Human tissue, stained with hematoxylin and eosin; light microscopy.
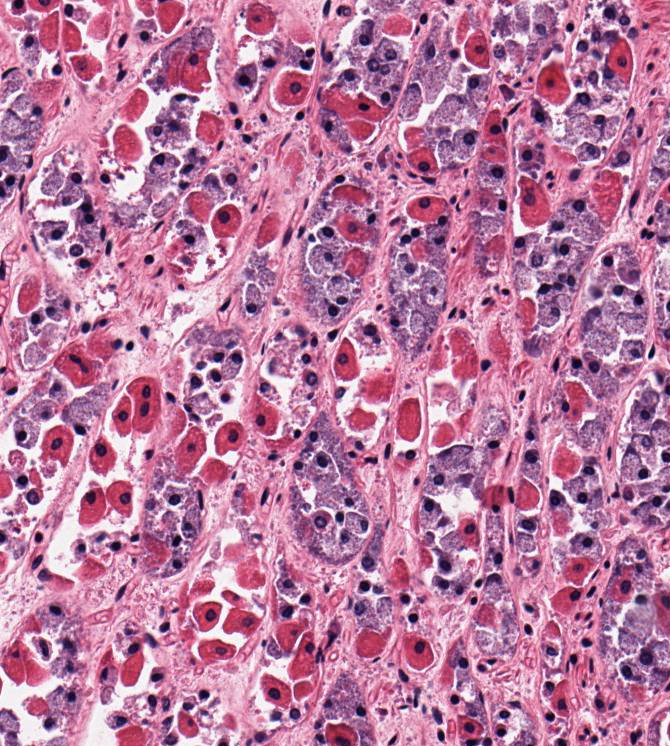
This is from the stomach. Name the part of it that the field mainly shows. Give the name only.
fundic glands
